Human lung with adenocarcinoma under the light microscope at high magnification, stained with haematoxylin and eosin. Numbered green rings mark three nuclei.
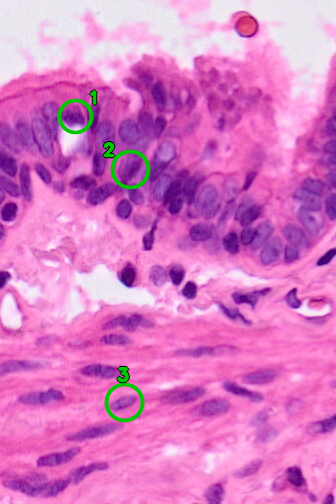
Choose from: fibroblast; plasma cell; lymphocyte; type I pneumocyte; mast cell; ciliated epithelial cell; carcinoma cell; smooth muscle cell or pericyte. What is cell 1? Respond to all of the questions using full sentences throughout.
The cell that carries the label 1 is a ciliated epithelial cell.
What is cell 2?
Cell 2 in the field is a ciliated epithelial cell.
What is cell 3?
The nucleus with number 3 is that of a smooth muscle cell or pericyte.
